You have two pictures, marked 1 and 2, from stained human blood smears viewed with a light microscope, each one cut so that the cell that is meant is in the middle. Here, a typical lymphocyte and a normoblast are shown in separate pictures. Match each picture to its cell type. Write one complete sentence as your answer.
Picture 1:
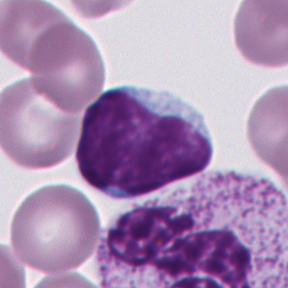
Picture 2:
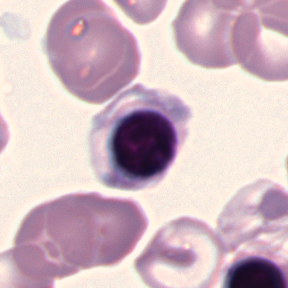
The cell in picture 1 is a typical lymphocyte, and the one in picture 2 is a normoblast.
